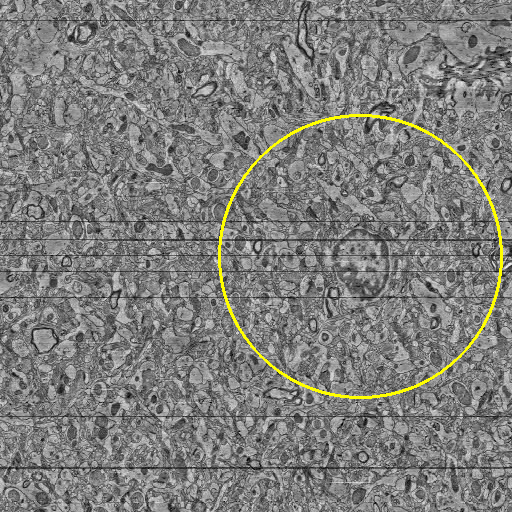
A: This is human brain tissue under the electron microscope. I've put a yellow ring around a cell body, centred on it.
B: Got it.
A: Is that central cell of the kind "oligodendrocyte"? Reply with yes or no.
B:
no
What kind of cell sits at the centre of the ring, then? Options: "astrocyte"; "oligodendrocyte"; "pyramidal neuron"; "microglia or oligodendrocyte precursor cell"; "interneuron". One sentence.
This picture has a microglial cell or oligodendrocyte precursor cell at the centre of its ring.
